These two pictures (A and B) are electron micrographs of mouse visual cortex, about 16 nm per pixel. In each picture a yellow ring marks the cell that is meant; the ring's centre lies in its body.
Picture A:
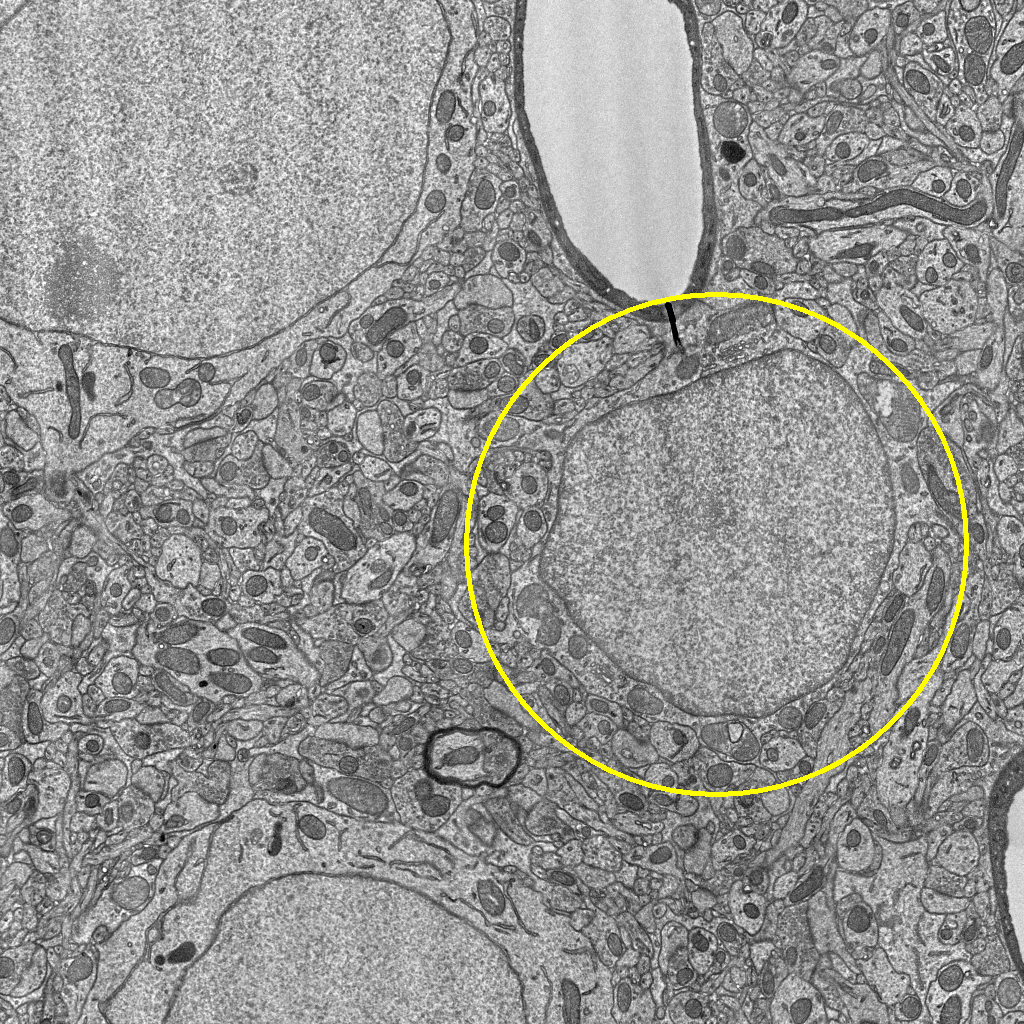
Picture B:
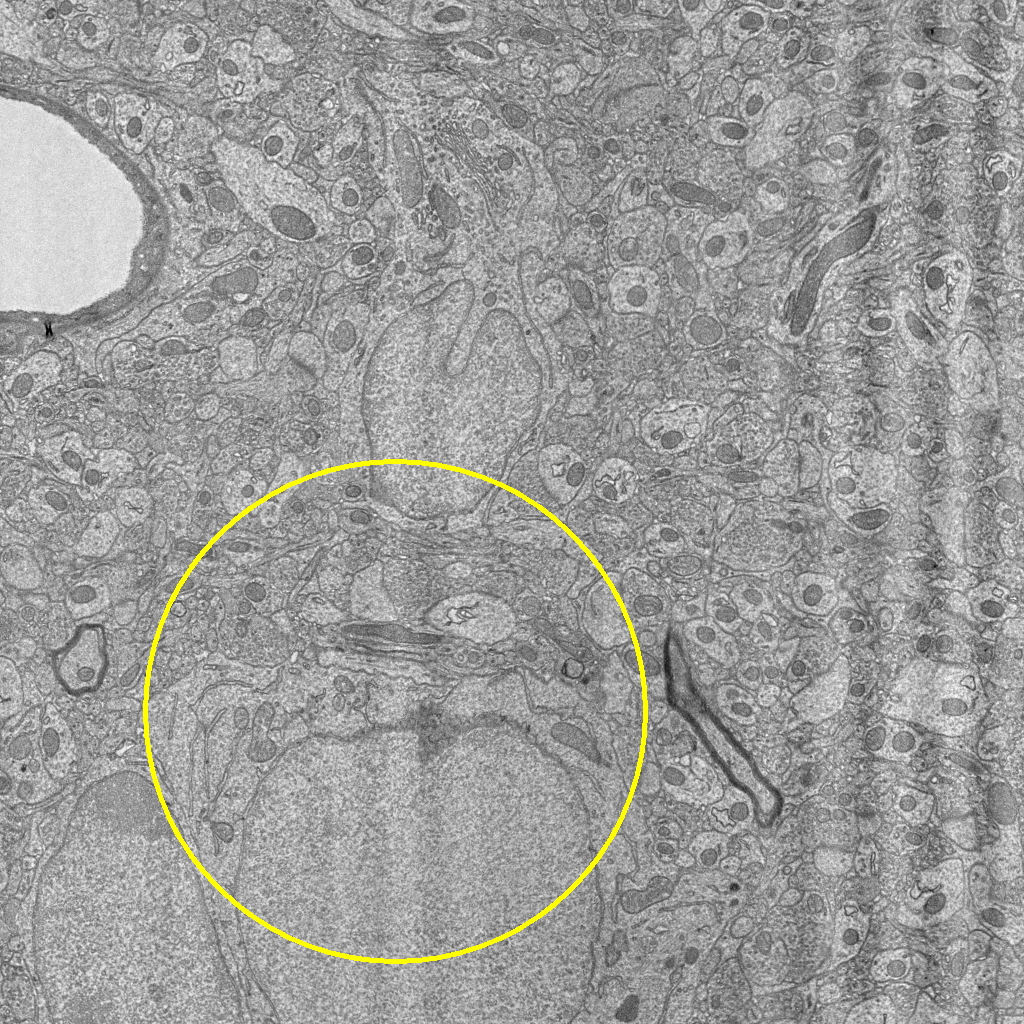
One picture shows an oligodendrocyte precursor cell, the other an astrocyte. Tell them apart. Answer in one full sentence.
Picture A shows an astrocyte and picture B shows an oligodendrocyte precursor cell.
